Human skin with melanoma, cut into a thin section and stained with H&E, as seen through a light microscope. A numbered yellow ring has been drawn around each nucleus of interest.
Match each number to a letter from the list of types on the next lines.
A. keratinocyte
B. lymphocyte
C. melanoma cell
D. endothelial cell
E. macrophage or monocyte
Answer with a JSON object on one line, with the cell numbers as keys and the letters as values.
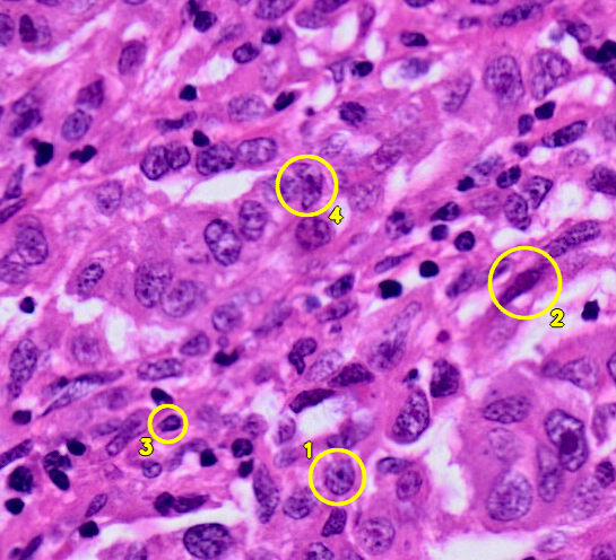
{"1": "C", "2": "C", "3": "B", "4": "C"}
